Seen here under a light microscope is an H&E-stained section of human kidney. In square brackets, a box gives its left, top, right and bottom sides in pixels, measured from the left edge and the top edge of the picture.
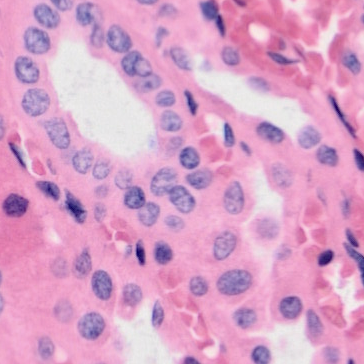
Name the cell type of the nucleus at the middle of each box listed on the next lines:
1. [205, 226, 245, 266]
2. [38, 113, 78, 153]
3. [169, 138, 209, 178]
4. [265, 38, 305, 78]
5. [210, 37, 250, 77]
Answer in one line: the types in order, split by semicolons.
loop of Henle or distal tubule cell; collecting duct cell; collecting duct cell; endothelial cell; loop of Henle or distal tubule cell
